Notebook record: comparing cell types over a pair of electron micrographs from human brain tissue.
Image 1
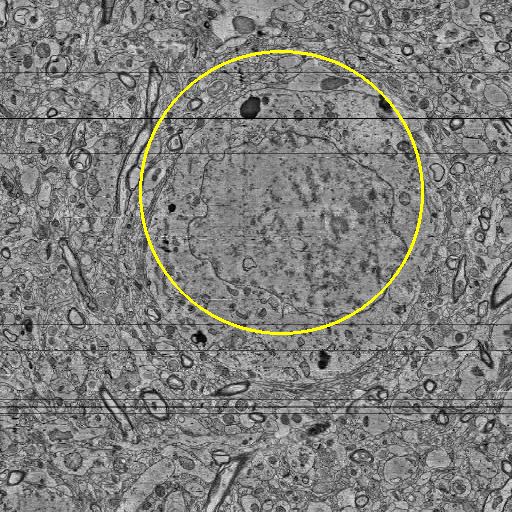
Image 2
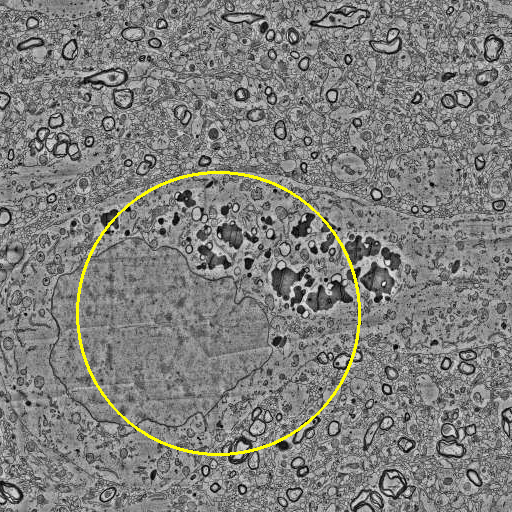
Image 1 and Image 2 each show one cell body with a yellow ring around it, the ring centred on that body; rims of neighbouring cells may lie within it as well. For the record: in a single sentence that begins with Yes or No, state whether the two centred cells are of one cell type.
Yes, one cell type is shared by the centred cells of Image 1 and Image 2.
